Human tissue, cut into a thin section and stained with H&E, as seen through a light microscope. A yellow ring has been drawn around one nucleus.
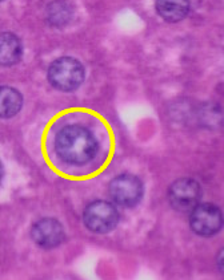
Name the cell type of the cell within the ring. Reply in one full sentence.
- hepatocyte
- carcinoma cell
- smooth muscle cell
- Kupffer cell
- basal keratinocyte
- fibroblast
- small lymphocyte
Among the cells in this section, the cell within the ring is a hepatocyte.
